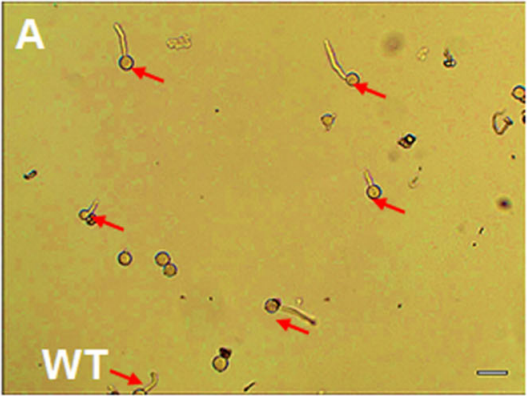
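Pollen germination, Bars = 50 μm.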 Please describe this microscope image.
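The grains are small, round and thick-walled, lying singly or in small groups among fine debris. Several grains have grown long, slender, tube-like outgrowths from one side, while others remain round without a tube.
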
